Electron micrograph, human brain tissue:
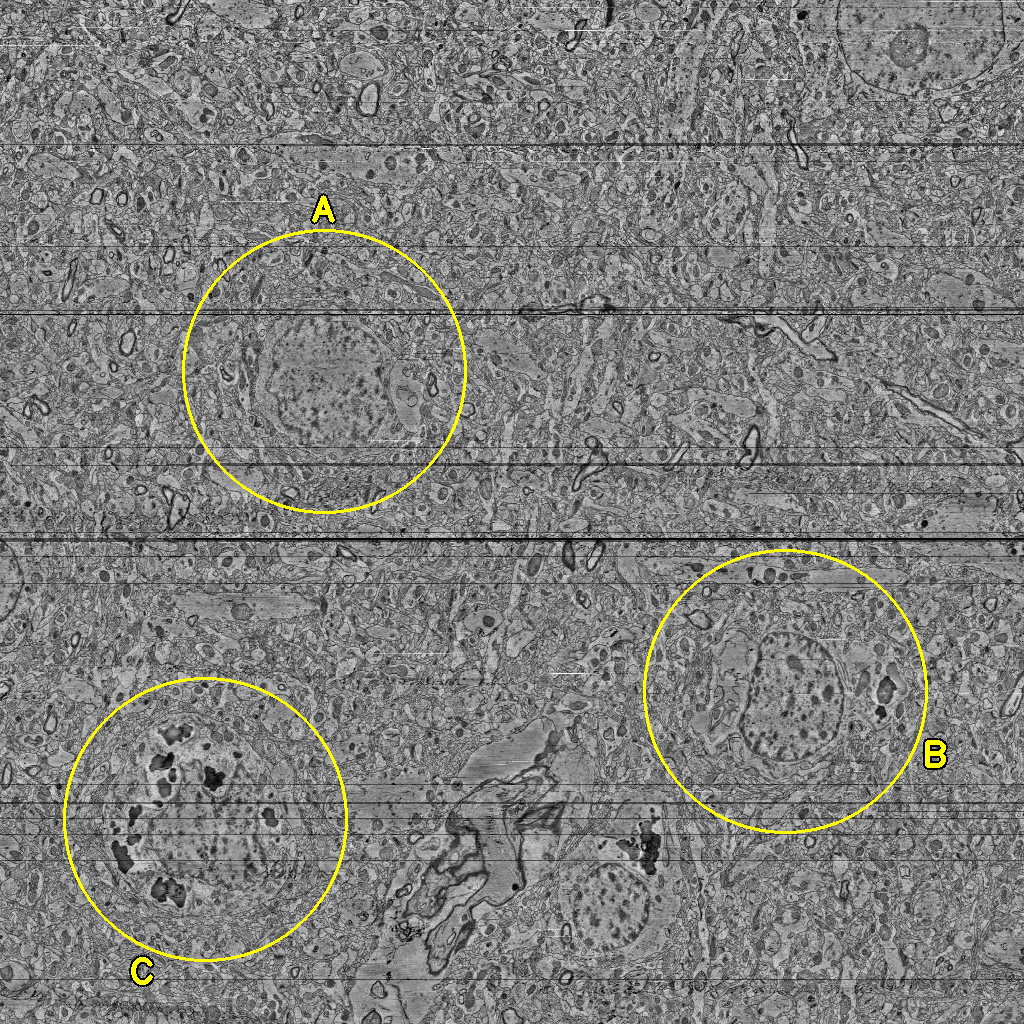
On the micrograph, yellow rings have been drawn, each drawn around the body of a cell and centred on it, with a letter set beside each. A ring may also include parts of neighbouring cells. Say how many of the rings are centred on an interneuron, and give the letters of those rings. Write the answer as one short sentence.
Rings bearing the letters A and C total two, and each one is centred on an interneuron.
